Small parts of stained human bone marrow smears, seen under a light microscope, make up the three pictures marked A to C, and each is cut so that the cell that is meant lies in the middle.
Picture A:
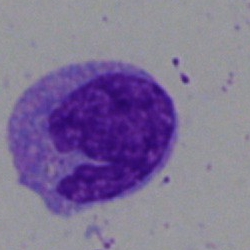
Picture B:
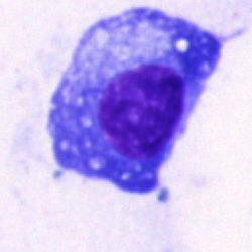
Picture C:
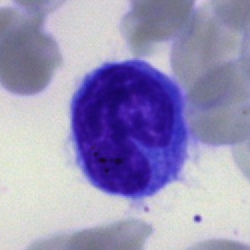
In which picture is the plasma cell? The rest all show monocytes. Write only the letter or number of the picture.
B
